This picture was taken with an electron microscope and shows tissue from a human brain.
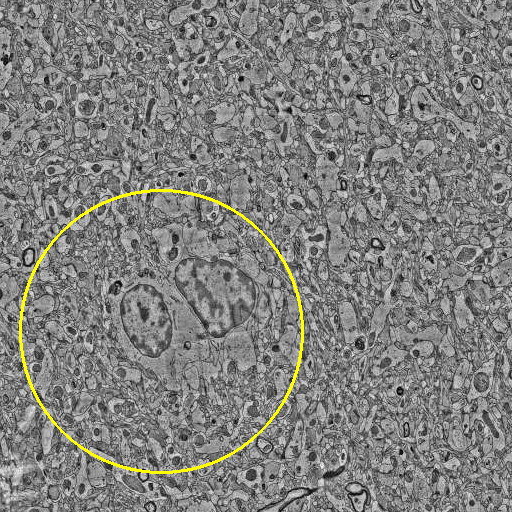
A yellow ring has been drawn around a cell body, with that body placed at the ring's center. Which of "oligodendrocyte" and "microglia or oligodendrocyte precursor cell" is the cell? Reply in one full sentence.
In this picture, a microglial cell or oligodendrocyte precursor cell is the cell at the center of the yellow ring.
